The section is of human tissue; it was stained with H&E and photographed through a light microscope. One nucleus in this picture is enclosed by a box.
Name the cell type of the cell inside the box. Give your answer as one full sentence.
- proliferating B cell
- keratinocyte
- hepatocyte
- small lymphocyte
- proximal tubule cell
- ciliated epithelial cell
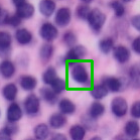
This is a small lymphocyte.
